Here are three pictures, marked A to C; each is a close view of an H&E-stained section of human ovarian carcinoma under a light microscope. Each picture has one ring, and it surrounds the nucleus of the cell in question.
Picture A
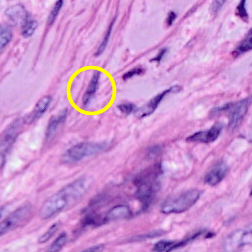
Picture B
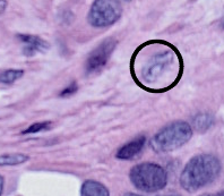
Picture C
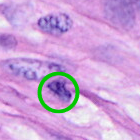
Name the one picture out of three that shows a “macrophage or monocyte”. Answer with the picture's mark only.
C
